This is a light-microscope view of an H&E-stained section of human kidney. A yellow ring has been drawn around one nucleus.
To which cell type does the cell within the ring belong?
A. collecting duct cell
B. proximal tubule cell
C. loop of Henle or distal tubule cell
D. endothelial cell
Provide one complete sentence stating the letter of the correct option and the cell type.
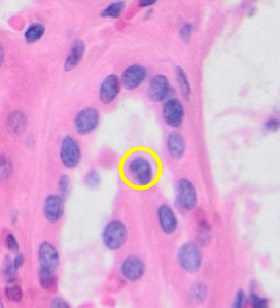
Option C gives the correct identity of the cell within the ring, which is a loop of Henle or distal tubule cell.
